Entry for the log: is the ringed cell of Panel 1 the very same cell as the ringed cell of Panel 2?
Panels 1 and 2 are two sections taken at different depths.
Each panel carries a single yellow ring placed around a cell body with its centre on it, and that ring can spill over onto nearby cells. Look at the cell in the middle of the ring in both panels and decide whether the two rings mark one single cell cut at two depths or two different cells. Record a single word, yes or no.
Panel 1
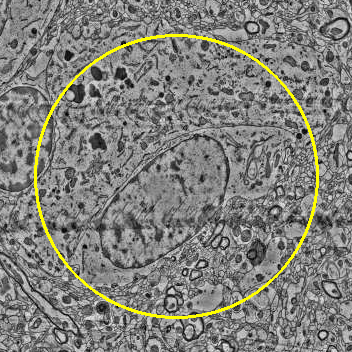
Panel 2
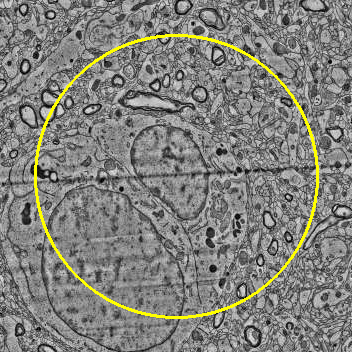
no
